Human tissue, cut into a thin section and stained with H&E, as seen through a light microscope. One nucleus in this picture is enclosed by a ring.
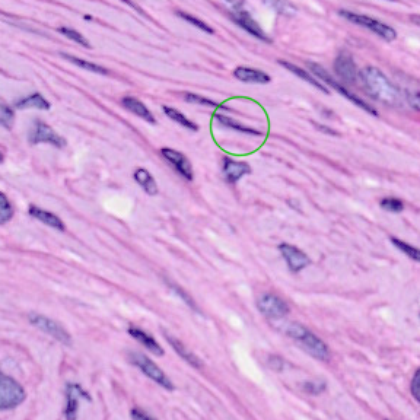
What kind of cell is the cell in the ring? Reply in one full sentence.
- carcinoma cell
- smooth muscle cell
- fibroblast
For the purposes of cell typing, the cell in the ring is categorized as a fibroblast.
